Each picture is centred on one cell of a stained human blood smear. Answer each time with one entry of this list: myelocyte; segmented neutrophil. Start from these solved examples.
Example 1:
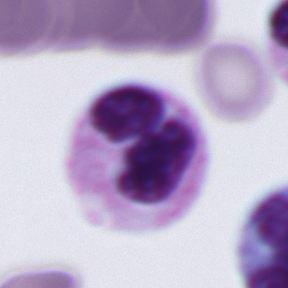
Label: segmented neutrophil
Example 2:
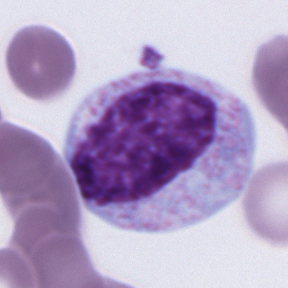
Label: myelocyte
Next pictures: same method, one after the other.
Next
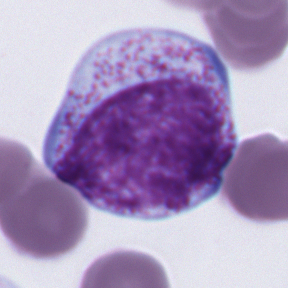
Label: myelocyte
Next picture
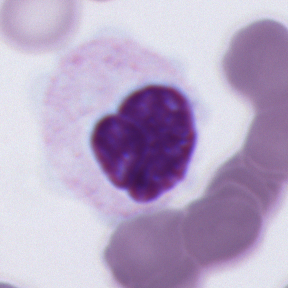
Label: segmented neutrophil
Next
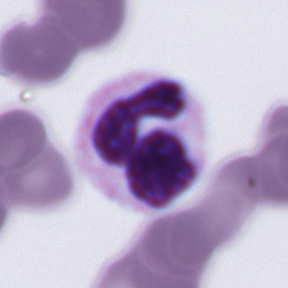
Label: segmented neutrophil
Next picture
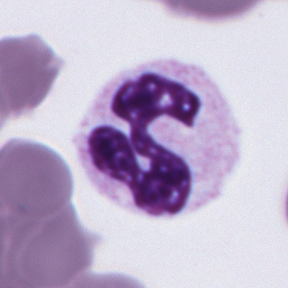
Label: segmented neutrophil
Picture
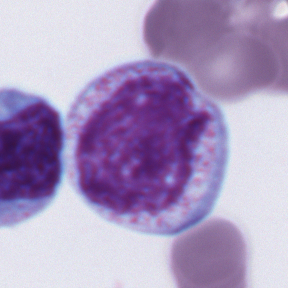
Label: myelocyte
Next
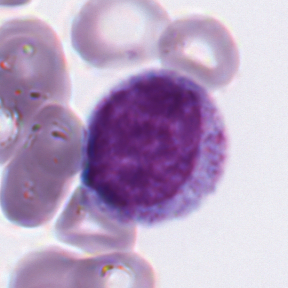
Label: myelocyte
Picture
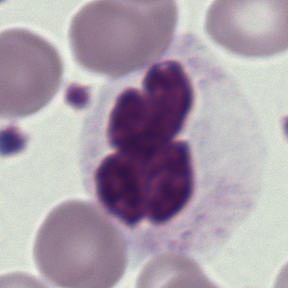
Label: segmented neutrophil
